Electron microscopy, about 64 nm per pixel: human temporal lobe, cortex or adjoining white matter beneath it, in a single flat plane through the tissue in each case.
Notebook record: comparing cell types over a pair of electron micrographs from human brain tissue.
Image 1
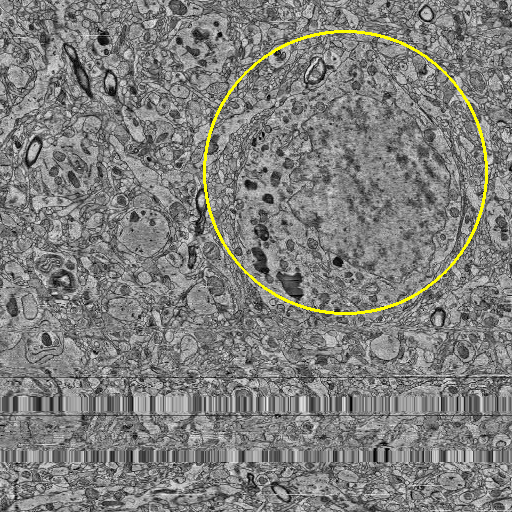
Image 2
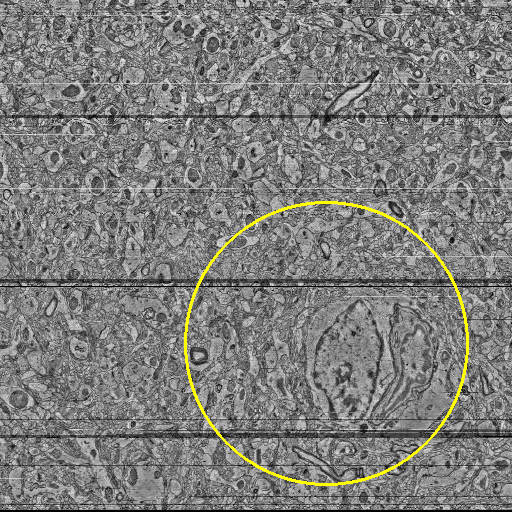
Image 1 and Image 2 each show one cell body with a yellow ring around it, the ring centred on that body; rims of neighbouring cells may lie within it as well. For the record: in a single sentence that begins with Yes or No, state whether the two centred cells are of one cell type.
No, two cell types are found among the centred cells of Image 1 and Image 2.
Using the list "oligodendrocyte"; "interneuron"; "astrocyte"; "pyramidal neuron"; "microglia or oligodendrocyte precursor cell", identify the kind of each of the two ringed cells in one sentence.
The first is an interneuron and the second is a microglial cell or oligodendrocyte precursor cell.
